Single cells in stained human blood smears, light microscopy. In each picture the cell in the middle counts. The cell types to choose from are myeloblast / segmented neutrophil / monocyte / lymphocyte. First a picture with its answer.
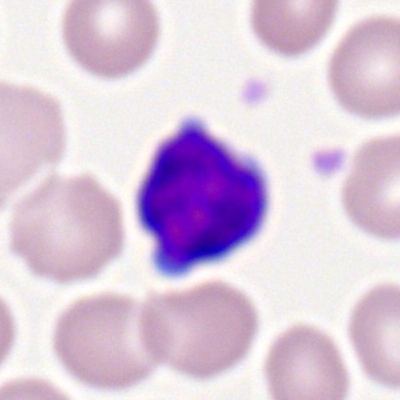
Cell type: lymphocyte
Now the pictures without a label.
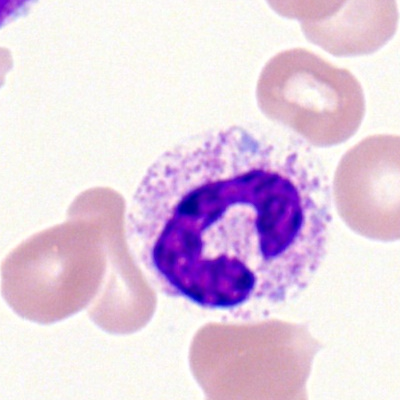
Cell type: segmented neutrophil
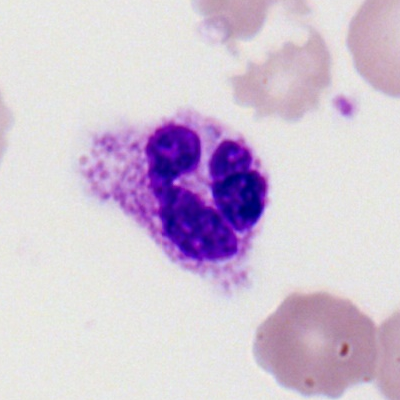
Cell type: segmented neutrophil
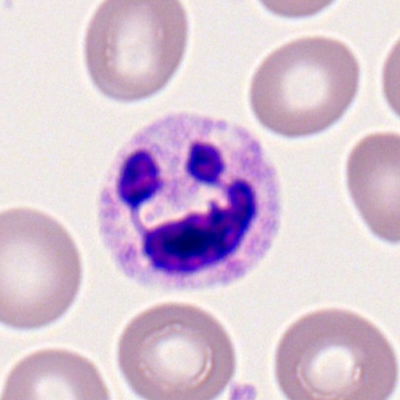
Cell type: segmented neutrophil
